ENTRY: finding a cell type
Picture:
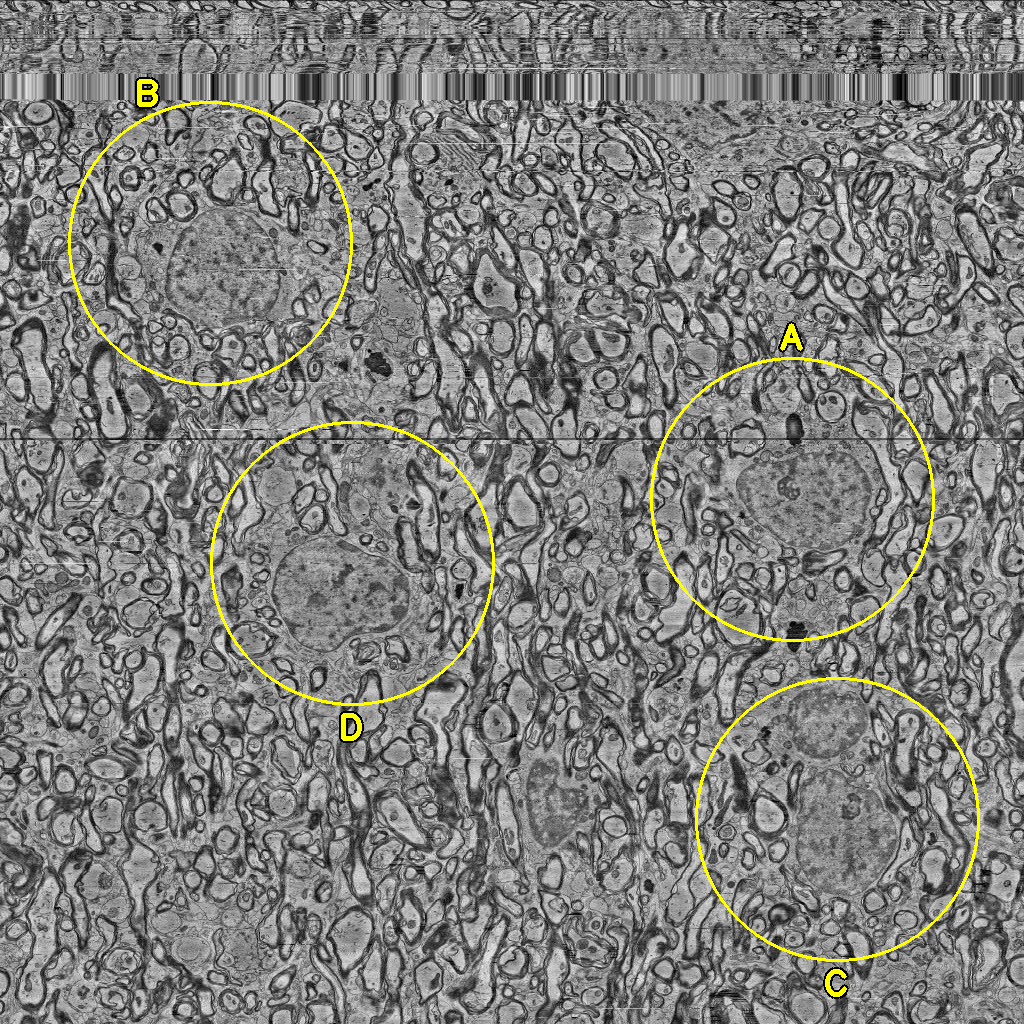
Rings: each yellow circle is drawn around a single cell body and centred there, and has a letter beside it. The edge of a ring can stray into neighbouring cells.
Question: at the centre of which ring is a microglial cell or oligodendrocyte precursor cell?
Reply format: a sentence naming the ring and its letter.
The answer is ring D, the one centred on the cell asked for.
